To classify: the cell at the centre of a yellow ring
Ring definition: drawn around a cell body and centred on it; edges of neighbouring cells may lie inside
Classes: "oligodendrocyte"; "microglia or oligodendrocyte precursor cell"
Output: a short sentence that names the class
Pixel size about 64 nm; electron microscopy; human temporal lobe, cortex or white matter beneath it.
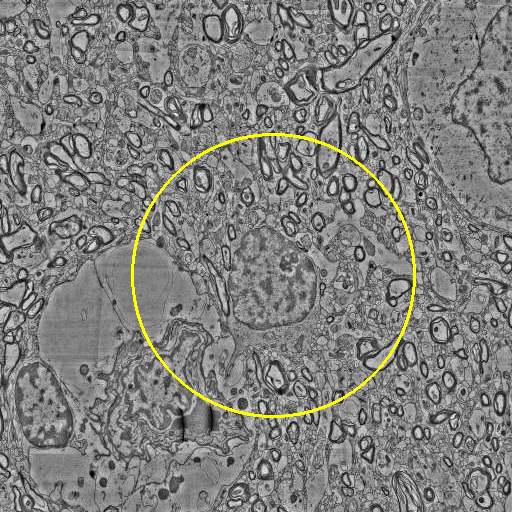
The ringed cell is an oligodendrocyte.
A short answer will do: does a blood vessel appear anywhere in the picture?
Yes.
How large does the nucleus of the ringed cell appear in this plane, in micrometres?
Roughly 6 micrometres across for the nucleus, in this plane.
